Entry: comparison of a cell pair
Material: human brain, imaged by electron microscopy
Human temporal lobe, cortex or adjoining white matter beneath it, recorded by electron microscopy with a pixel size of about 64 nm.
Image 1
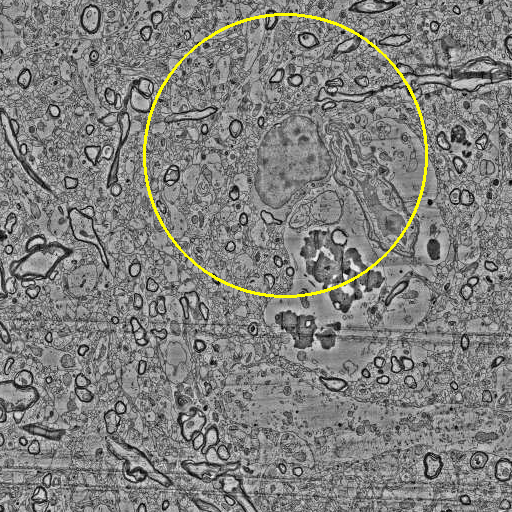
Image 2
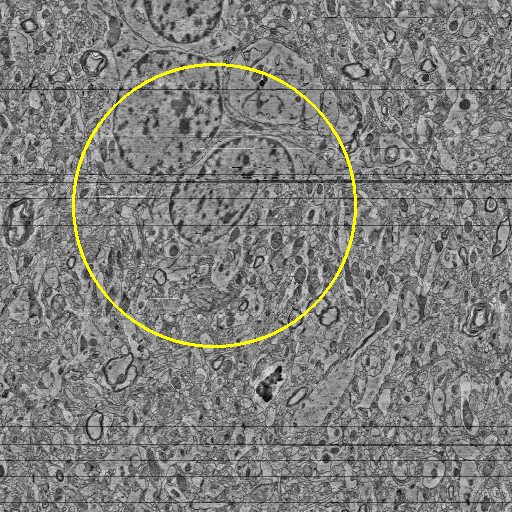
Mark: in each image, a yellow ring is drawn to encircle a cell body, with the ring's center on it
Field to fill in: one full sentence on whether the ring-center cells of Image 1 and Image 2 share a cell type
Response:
No, Image 1 and Image 2 show ring-center cells of two separate types.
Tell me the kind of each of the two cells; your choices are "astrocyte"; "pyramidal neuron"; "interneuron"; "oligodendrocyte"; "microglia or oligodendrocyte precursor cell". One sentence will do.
The ringed cell is an oligodendrocyte in the first picture and an astrocyte in the second picture.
